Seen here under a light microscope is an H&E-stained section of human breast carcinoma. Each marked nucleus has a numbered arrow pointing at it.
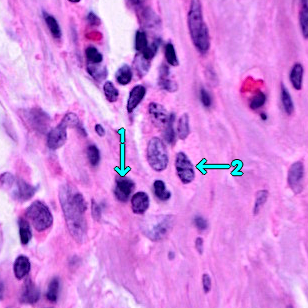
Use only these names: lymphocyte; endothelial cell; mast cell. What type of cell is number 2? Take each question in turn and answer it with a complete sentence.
Recognised here as a mast cell is the cell numbered 2.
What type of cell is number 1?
What the number 1 marks in this field is a lymphocyte.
